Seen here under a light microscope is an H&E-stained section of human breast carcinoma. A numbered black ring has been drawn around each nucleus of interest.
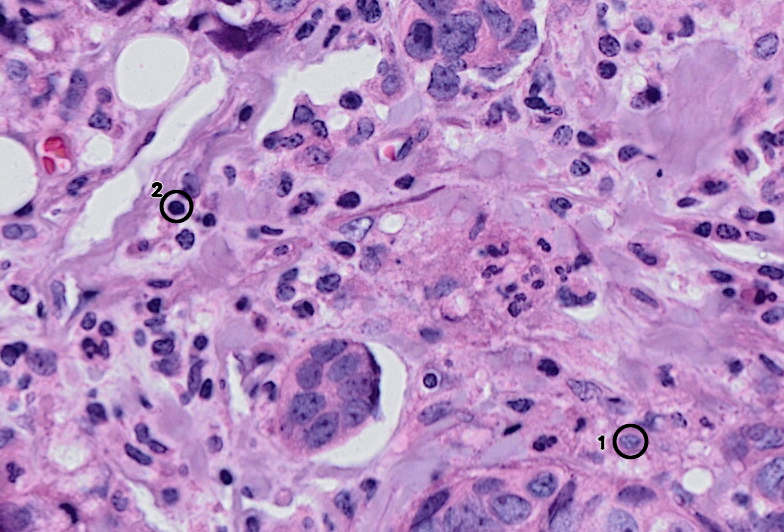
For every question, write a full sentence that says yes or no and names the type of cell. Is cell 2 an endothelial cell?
No, the cell at marker 2 is not an endothelial cell; it is a lymphocyte.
